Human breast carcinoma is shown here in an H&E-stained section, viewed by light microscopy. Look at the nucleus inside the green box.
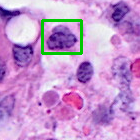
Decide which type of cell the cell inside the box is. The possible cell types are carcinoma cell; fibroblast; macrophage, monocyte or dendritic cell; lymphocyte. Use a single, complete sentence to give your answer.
Typologically, the cell inside the box is a macrophage, monocyte or dendritic cell in this section.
